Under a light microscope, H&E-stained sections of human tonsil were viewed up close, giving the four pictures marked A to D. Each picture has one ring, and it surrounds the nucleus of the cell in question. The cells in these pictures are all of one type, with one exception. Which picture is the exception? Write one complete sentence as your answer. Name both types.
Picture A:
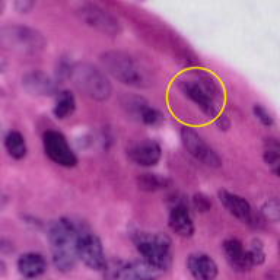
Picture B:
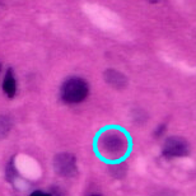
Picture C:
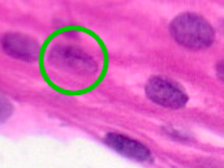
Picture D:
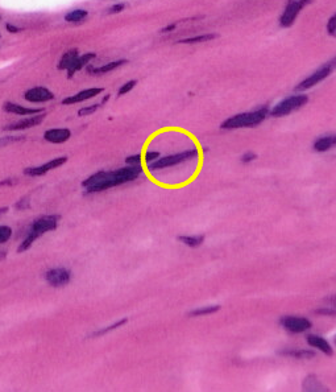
The others show squamous epithelial cells, but picture D shows an endothelial cell.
